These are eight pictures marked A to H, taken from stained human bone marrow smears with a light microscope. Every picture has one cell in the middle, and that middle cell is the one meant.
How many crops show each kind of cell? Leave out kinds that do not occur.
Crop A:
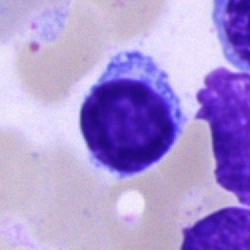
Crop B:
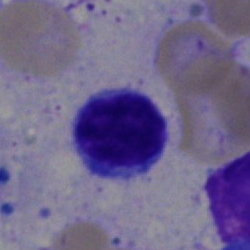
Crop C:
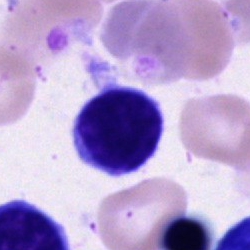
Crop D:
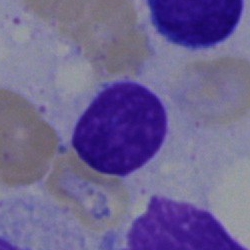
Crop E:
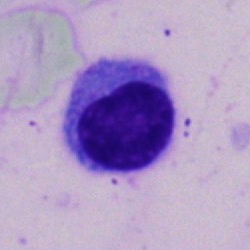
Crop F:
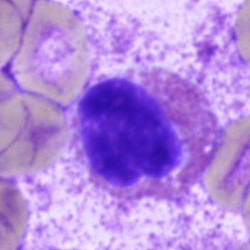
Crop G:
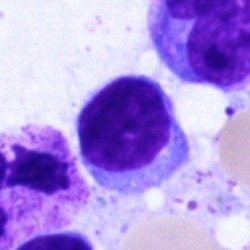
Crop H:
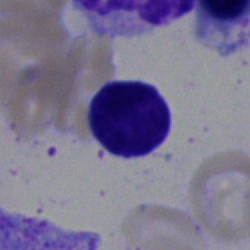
lymphocyte: 7
eosinophil: 1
